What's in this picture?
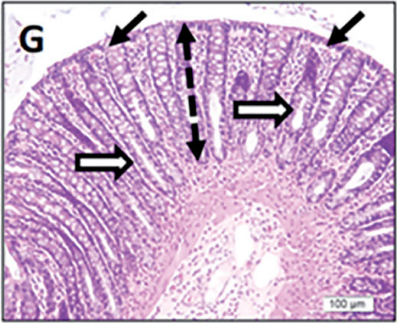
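This is colonic mucosa with tall, regularly arranged crypts radiating from a pale pink submucosa toward an intact surface epithelium. The crypts are lined by many clear, vacuolated goblet cells, and the lamina propria between them holds scattered purple nuclei without dense inflammatory clusters.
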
